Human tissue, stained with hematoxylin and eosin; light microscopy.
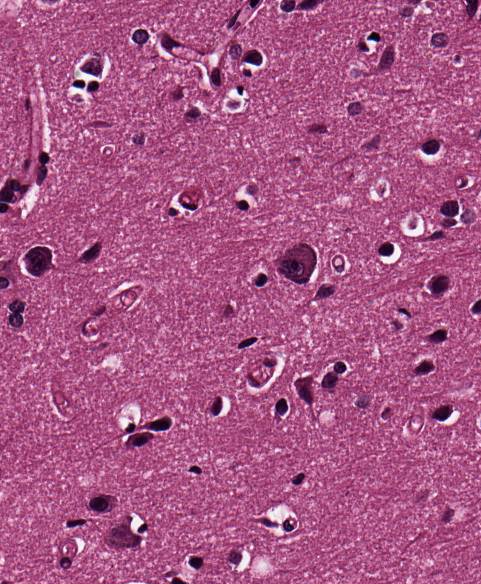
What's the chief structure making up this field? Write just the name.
cerebral cortex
